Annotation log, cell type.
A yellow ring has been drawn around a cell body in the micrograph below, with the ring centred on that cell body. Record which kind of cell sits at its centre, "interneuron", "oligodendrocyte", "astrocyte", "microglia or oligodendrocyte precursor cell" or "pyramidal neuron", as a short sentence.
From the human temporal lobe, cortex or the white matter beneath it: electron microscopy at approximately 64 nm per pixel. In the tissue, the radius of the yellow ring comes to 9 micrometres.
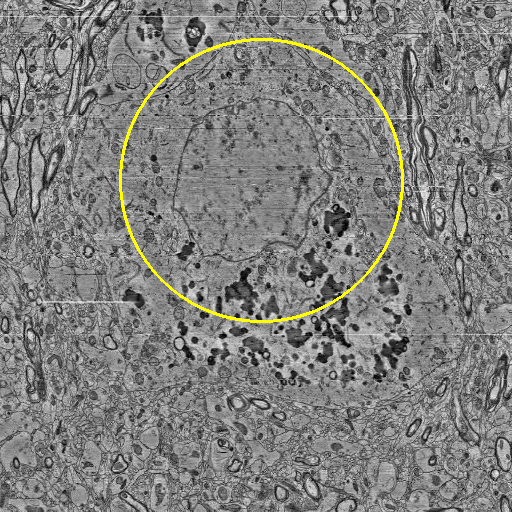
The cell at the centre of this ring is a pyramidal neuron.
